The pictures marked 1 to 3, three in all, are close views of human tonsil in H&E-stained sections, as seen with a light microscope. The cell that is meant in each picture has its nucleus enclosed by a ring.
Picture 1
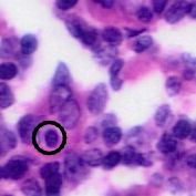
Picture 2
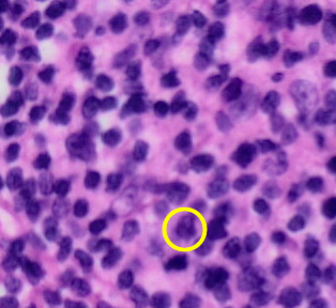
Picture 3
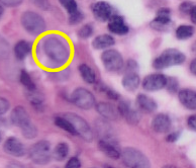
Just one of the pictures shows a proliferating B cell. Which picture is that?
2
